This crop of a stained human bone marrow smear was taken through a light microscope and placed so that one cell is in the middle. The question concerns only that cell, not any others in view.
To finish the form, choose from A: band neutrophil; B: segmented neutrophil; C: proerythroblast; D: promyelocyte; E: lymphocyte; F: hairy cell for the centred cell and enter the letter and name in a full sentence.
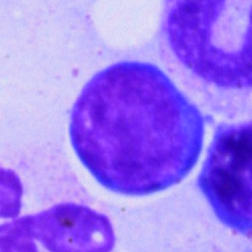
The cell shown centrally is a lymphocyte; option E is the correct option.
